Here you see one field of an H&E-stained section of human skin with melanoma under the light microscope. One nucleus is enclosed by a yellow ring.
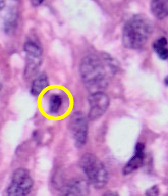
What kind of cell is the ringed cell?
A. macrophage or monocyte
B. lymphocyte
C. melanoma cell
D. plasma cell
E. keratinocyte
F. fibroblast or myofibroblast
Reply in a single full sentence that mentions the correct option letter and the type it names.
In agreement with option B, the ringed cell is a lymphocyte.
